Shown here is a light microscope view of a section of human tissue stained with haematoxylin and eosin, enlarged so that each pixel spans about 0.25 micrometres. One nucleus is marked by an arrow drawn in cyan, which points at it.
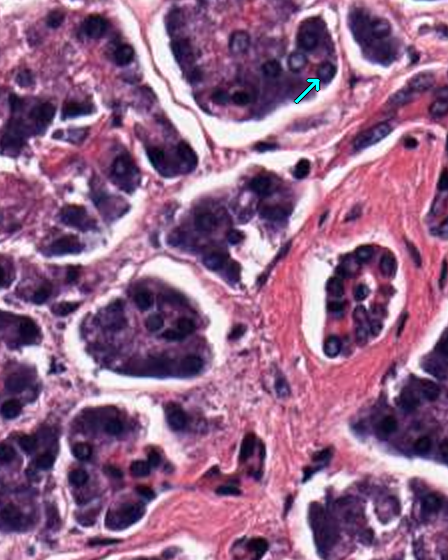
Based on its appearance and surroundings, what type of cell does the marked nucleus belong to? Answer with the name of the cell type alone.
pancreatic acinar cell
